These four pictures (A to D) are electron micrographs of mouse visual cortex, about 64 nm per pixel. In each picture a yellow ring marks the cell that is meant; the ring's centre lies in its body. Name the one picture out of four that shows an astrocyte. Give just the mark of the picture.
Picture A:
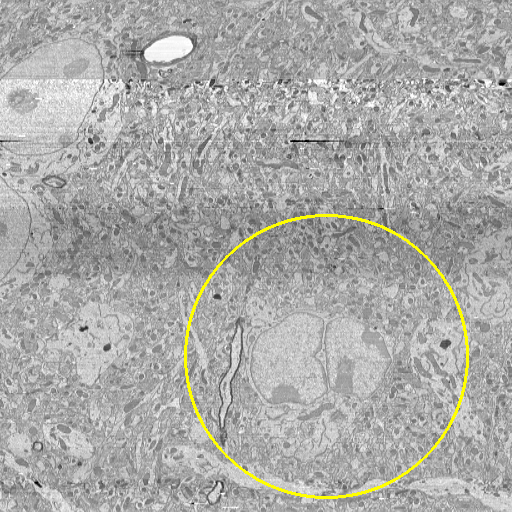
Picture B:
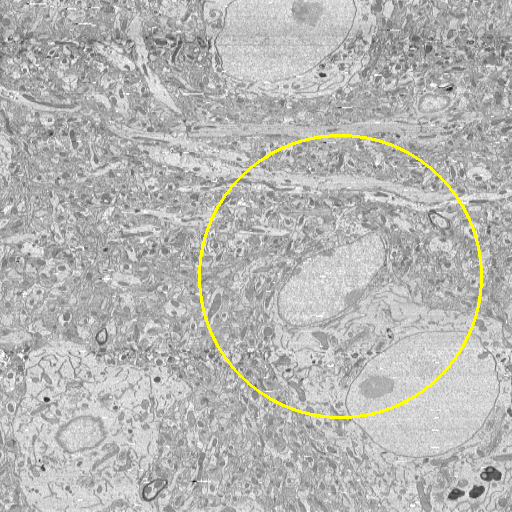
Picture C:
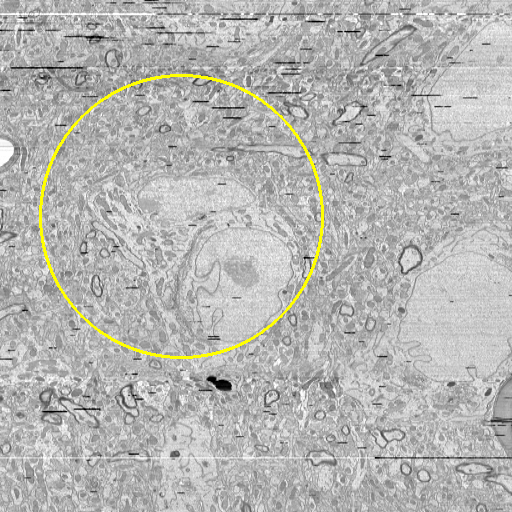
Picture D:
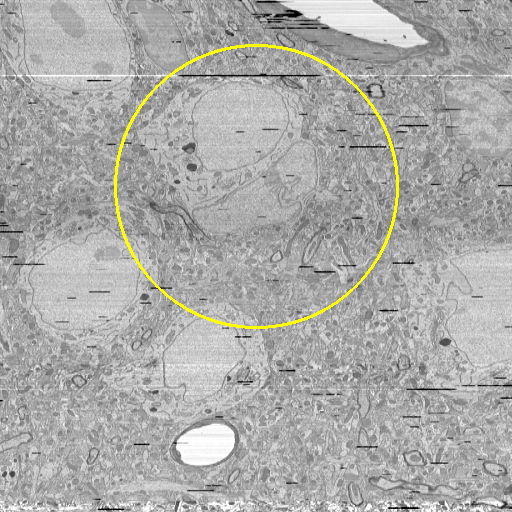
B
